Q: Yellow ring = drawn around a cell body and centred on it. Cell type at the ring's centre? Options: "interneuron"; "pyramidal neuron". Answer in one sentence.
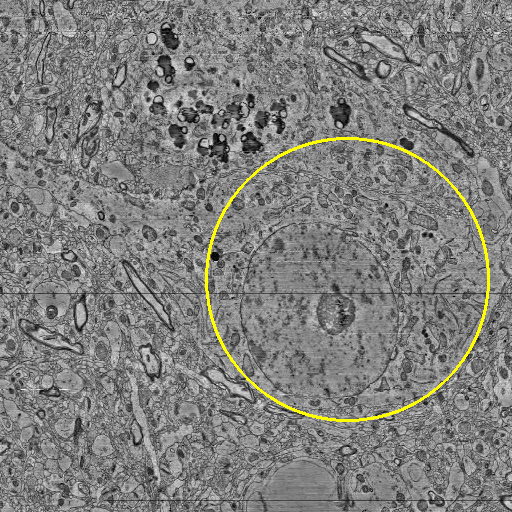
Centred in the ring is an interneuron.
